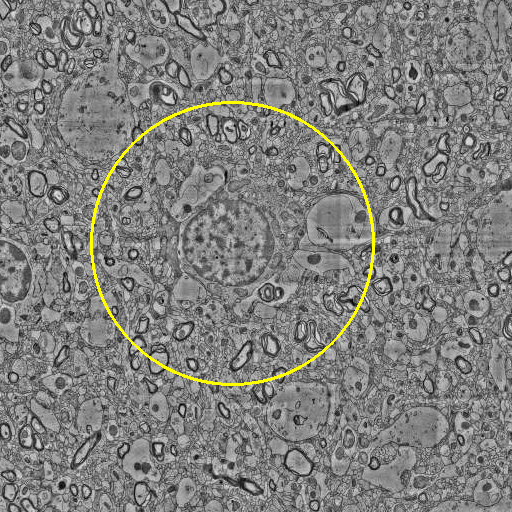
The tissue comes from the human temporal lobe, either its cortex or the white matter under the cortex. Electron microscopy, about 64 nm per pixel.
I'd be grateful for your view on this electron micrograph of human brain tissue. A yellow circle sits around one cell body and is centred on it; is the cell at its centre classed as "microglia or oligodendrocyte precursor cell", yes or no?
no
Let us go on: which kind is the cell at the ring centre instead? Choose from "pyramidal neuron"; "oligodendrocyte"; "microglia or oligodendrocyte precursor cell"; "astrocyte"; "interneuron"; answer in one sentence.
It is an oligodendrocyte that the ring is centred on.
